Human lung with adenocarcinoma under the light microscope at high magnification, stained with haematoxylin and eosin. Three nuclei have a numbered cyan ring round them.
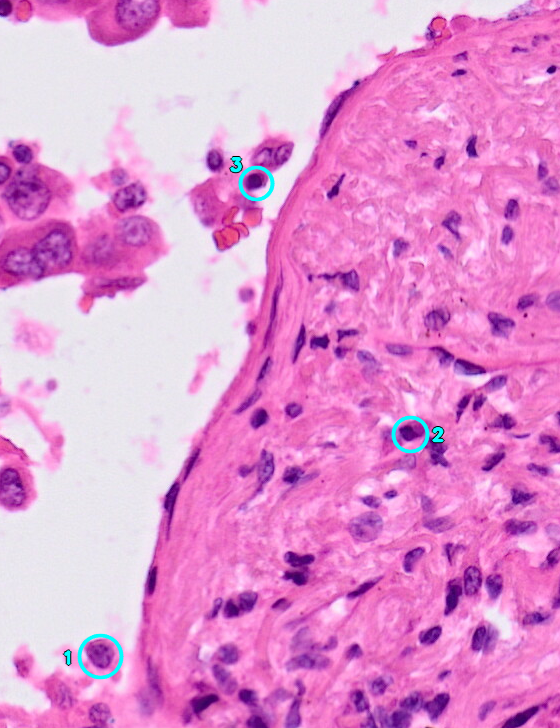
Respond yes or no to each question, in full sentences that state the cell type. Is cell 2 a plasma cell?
Yes, the marked cell numbered 2 is a plasma cell.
